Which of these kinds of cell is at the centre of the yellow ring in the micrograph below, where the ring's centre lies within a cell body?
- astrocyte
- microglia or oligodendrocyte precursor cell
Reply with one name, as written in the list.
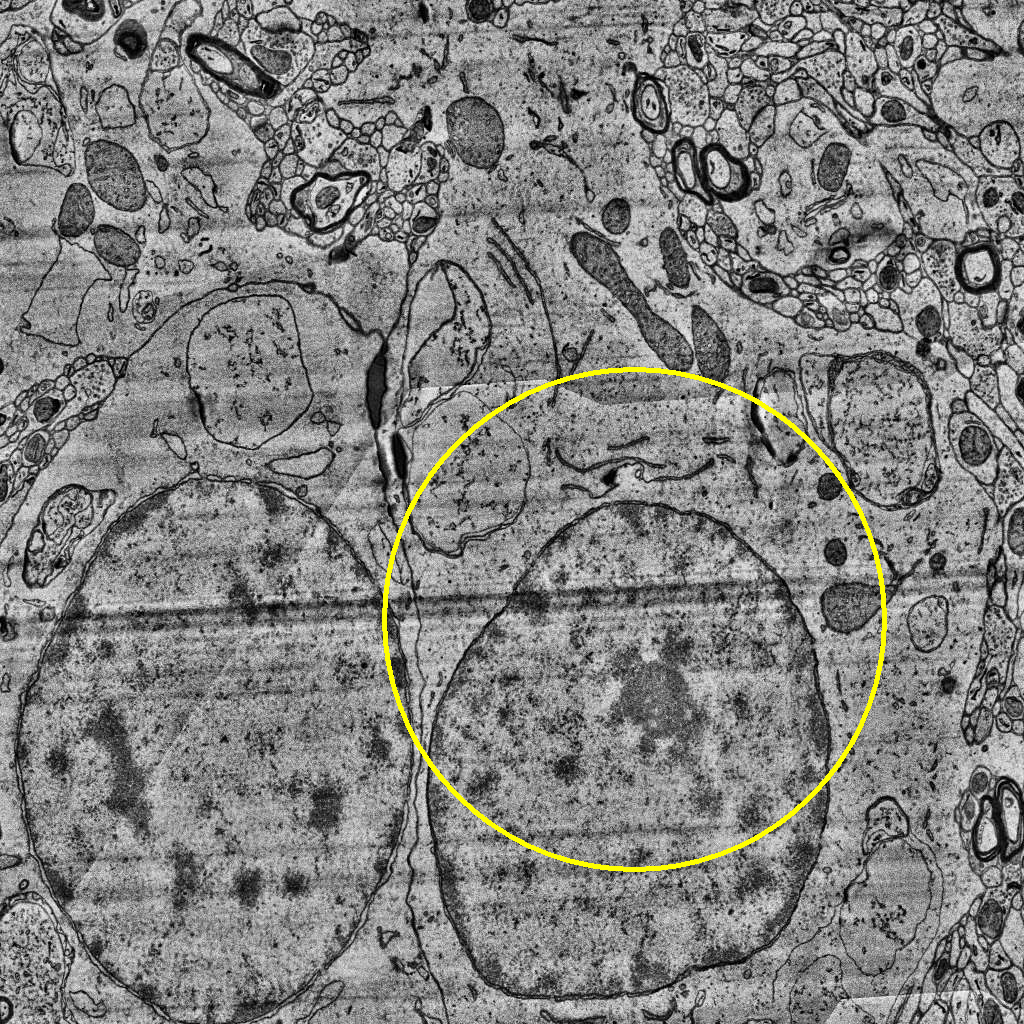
astrocyte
